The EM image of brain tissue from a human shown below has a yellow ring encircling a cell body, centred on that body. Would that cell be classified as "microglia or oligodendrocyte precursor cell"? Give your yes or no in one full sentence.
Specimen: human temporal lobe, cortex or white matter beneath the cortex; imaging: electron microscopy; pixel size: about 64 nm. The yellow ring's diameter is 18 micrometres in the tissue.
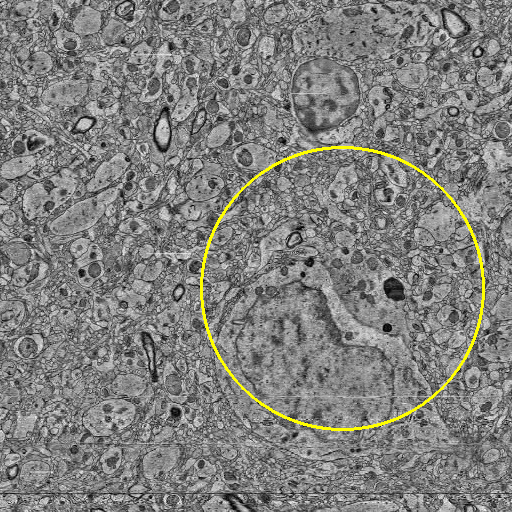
No, the cell at the centre of the ring in the picture falls in another class.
